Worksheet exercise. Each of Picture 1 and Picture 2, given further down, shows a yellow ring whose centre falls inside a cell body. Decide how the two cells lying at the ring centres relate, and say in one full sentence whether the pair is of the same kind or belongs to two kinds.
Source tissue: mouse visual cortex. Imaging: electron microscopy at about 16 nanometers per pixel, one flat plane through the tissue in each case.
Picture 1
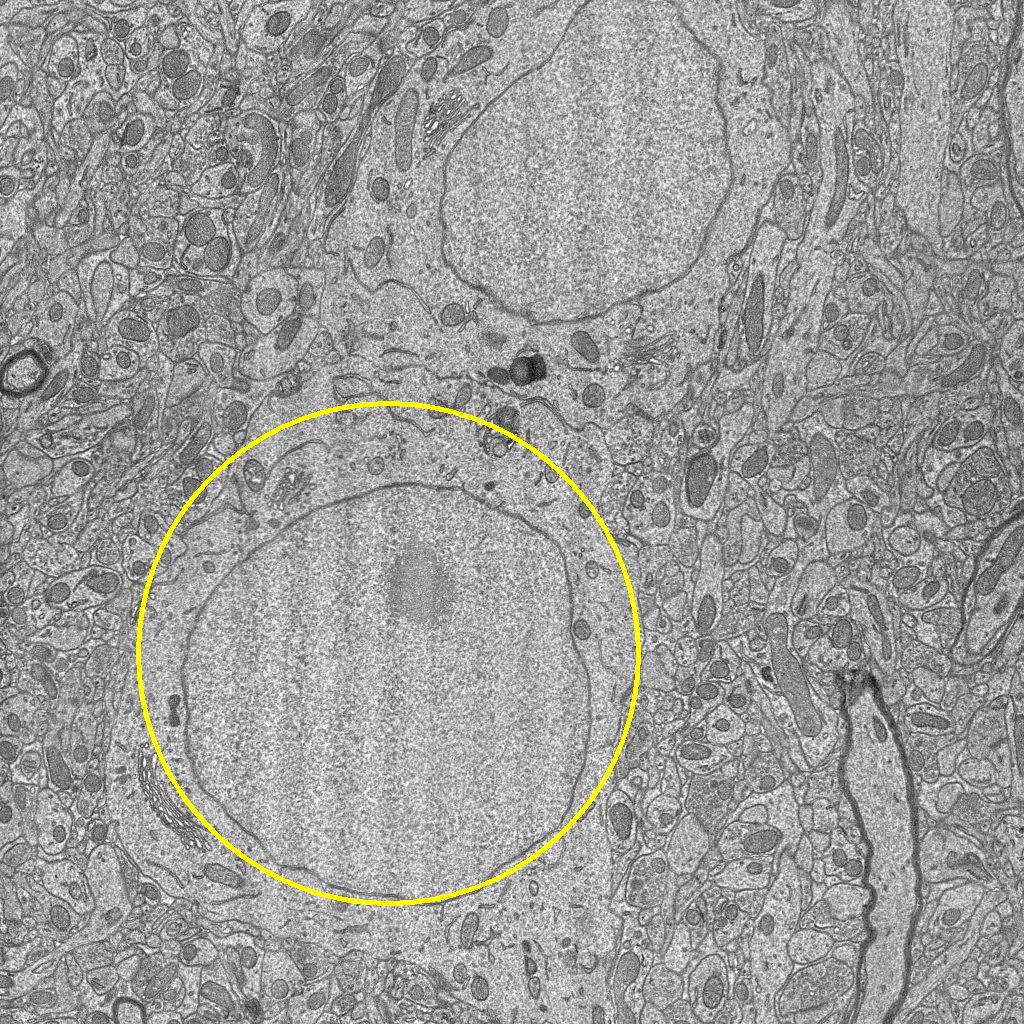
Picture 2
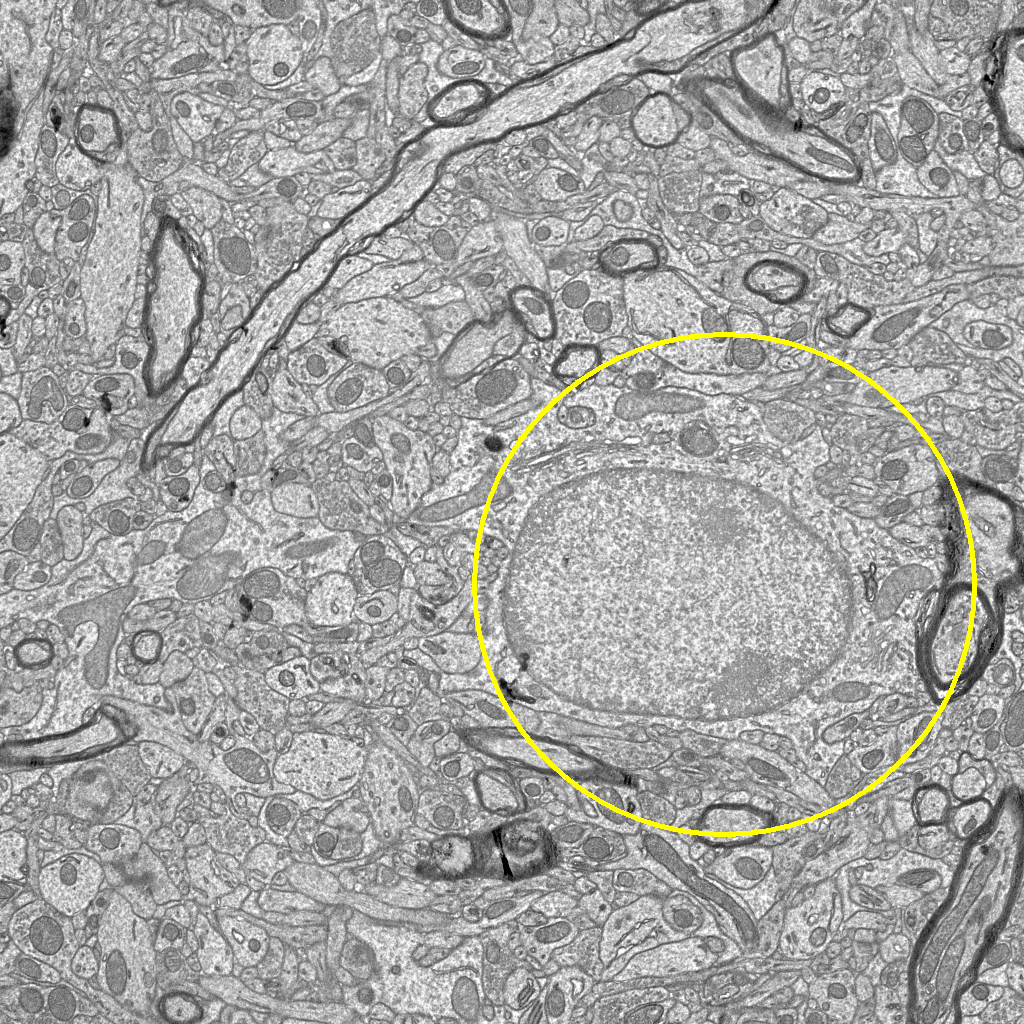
The cells at the ring centres in Picture 1 and Picture 2 belong to two kinds.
